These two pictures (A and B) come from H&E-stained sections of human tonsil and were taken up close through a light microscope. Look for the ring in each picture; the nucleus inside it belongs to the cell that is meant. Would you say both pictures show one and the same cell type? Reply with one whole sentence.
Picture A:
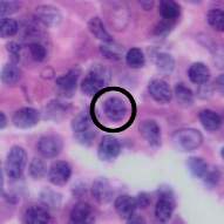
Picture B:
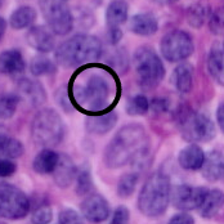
No, picture A shows a plasma cell and picture B shows a proliferating B cell.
